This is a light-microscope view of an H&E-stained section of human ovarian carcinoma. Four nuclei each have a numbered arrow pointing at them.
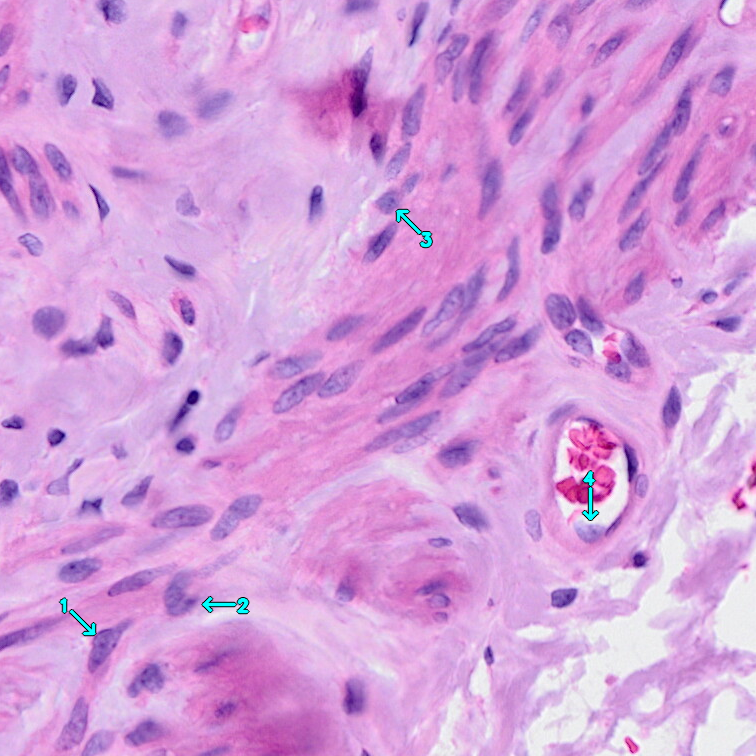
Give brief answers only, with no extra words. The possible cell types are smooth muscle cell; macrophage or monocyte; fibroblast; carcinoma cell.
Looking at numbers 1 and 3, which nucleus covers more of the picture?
1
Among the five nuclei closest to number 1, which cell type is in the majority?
smooth muscle cell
